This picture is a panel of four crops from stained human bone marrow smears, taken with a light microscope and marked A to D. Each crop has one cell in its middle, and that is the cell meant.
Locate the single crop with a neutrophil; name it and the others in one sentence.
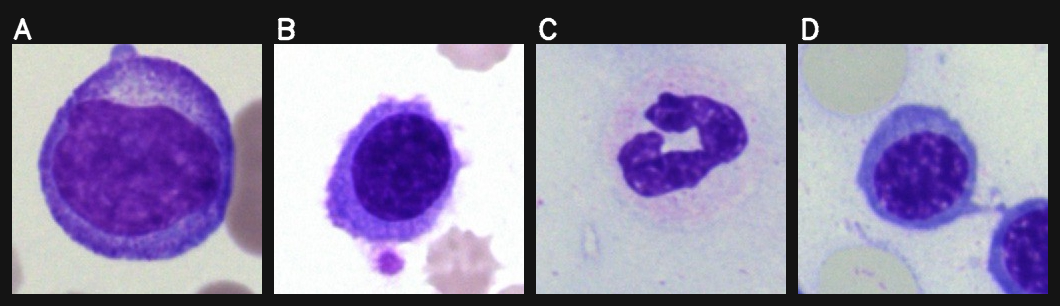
Crop C displays a neutrophil, whereas crop A is a blast, crop B is a hairy cell and crop D is a normoblast.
